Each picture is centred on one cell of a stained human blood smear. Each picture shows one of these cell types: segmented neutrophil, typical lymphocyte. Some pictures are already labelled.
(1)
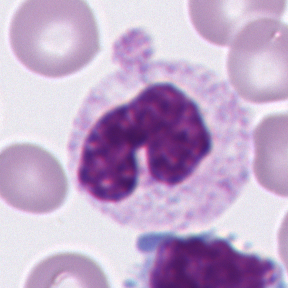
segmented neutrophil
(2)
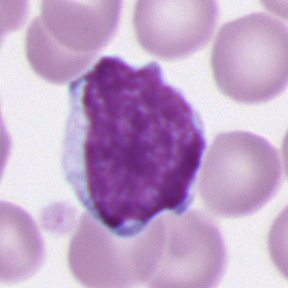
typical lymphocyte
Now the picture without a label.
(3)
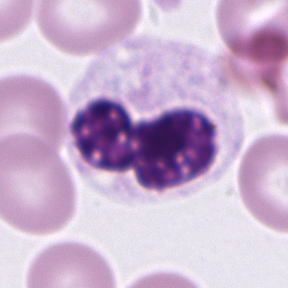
segmented neutrophil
